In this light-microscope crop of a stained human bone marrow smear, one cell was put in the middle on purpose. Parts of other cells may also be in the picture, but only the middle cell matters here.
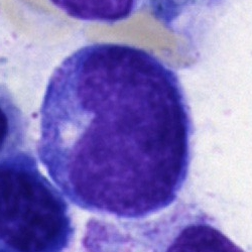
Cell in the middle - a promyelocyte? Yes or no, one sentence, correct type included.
Yes, the cell lying in the middle is a promyelocyte.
